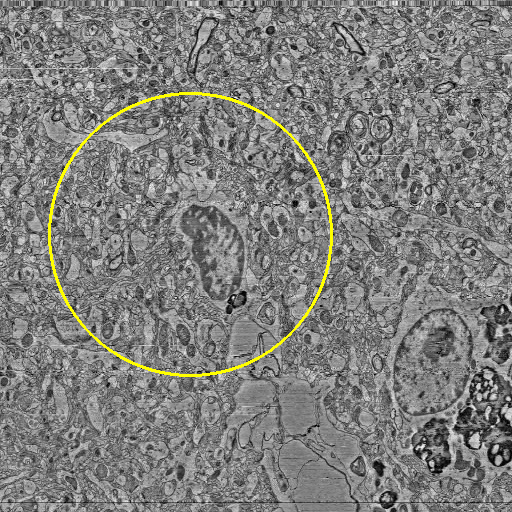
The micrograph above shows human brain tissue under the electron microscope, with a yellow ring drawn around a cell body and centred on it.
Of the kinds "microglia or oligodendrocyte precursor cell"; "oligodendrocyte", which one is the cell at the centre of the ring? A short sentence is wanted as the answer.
The one at the centre of the ring is a microglial cell or oligodendrocyte precursor cell.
